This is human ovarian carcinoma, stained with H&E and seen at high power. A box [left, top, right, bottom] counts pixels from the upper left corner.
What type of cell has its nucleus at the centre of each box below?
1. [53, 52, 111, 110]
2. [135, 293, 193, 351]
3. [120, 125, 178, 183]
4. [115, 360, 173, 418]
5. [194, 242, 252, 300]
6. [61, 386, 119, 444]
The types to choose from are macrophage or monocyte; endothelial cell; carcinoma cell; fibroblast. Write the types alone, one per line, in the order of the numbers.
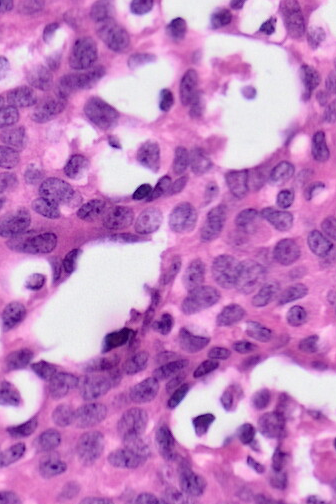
carcinoma cell
macrophage or monocyte
macrophage or monocyte
carcinoma cell
carcinoma cell
carcinoma cell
